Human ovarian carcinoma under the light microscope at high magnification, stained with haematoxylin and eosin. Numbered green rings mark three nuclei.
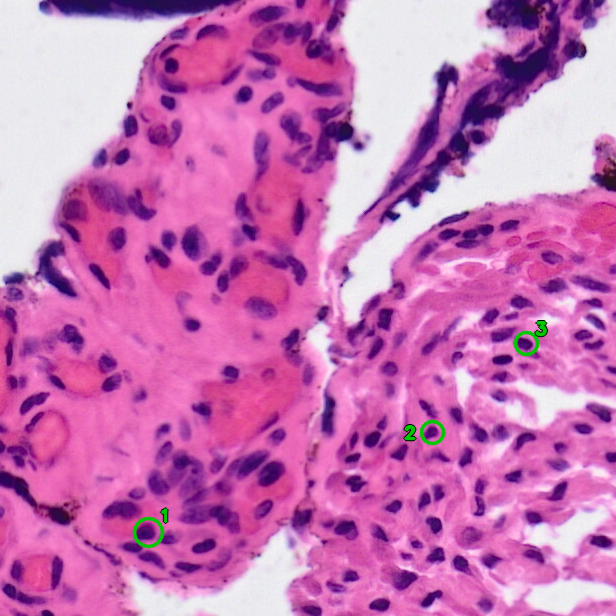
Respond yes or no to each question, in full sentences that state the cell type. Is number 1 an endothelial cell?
Yes, the cell that bears the number 1 is an endothelial cell.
